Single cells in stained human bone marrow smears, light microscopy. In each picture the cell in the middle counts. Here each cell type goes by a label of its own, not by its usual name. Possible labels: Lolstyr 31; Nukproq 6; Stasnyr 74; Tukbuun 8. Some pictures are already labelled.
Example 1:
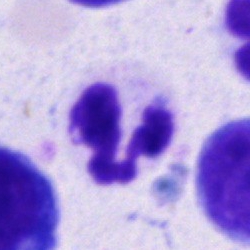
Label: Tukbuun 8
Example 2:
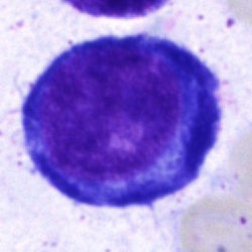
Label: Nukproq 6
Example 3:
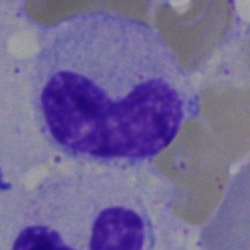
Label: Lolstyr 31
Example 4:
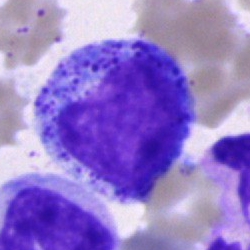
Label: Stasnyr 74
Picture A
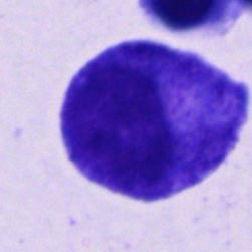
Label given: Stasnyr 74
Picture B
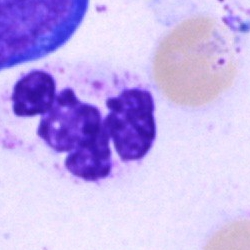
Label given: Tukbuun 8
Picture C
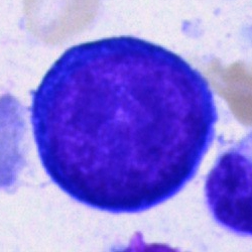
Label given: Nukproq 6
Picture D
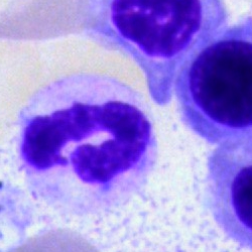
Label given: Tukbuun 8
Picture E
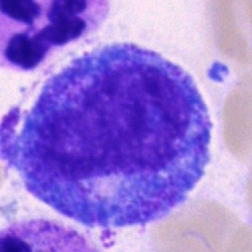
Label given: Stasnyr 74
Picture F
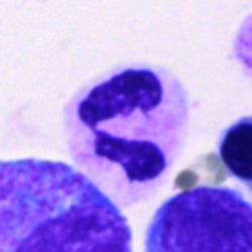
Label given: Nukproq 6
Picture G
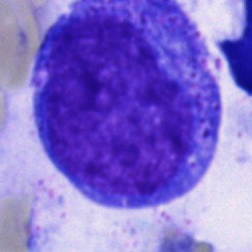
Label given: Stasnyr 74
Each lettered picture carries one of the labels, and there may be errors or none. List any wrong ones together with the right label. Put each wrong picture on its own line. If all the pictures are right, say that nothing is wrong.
F should be Tukbuun 8, not Nukproq 6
